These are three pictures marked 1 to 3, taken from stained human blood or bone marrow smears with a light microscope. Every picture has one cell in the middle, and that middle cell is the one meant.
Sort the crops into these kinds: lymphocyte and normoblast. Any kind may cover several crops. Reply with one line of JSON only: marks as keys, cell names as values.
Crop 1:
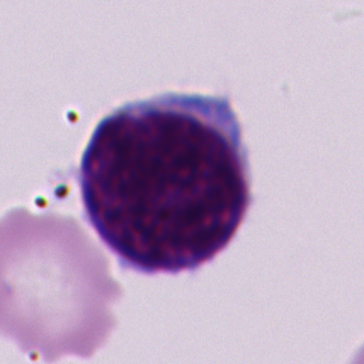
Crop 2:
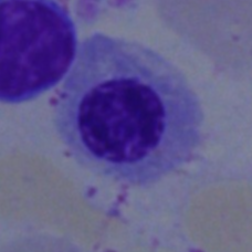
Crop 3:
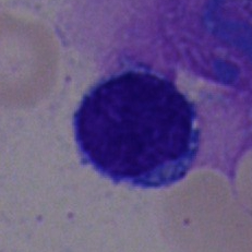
{"1": "lymphocyte", "2": "normoblast", "3": "lymphocyte"}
